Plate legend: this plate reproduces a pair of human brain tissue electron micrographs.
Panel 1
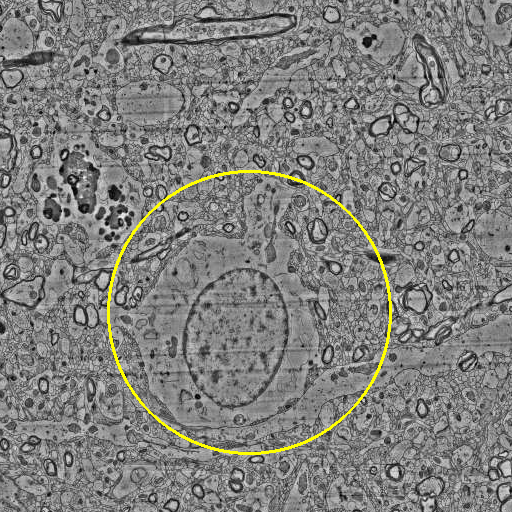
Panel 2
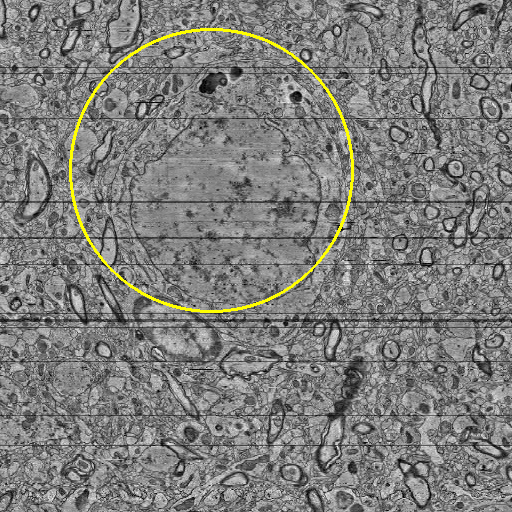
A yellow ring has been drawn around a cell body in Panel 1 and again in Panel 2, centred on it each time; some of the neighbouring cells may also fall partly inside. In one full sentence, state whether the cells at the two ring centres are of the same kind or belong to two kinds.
The ring-centred cells of Panel 1 and Panel 2 belong to two kinds.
